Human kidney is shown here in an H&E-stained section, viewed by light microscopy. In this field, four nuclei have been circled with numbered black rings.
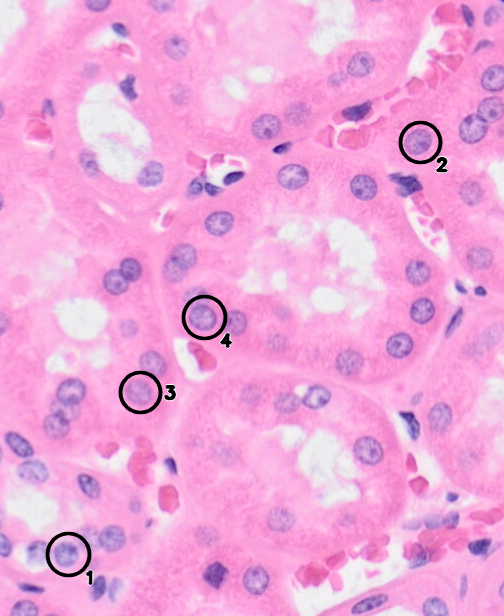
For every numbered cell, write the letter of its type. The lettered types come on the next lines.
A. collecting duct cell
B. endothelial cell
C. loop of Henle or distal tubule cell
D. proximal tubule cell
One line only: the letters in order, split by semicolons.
A; D; D; D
